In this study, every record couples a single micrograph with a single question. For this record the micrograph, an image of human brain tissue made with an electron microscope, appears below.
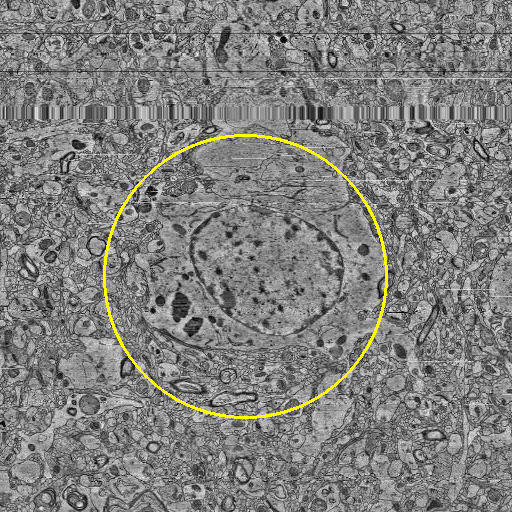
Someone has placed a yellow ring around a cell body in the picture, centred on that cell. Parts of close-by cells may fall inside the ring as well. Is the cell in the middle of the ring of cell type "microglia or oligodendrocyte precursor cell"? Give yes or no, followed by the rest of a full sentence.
No, the cell centred in the ring shown in the picture has a different cell type.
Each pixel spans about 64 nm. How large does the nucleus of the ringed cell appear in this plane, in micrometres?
The nucleus works out at approximately 10 by 8 micrometres in this plane.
